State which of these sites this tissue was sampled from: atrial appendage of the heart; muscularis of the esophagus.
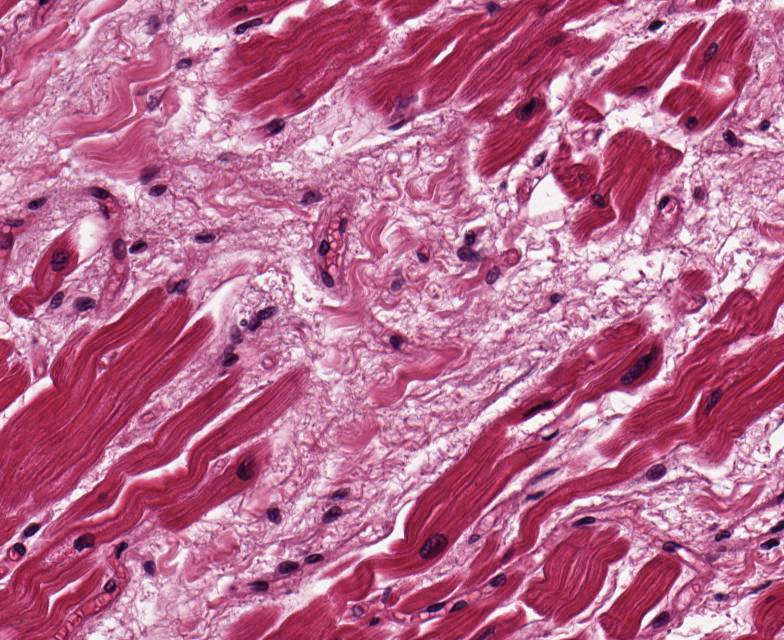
atrial appendage of the heart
